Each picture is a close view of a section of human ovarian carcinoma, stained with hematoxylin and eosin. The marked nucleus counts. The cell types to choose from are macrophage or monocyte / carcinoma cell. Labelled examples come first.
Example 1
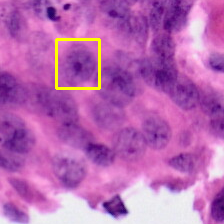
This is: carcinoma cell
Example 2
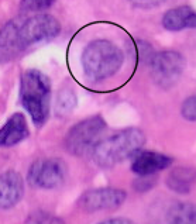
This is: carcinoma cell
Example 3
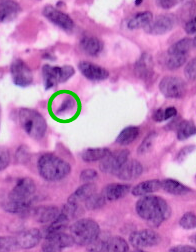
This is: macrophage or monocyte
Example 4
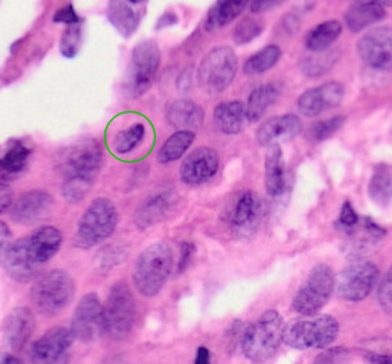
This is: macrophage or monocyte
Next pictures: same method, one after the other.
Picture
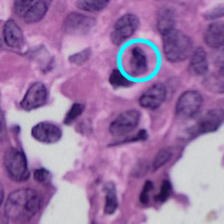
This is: macrophage or monocyte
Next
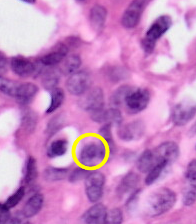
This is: carcinoma cell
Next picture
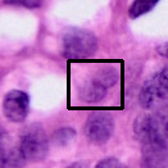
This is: carcinoma cell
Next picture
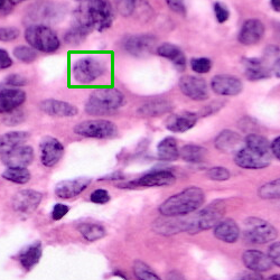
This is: macrophage or monocyte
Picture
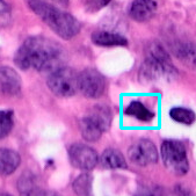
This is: carcinoma cell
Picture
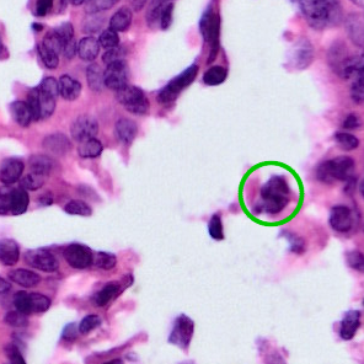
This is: macrophage or monocyte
